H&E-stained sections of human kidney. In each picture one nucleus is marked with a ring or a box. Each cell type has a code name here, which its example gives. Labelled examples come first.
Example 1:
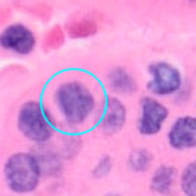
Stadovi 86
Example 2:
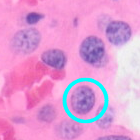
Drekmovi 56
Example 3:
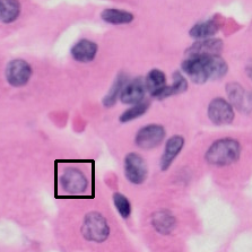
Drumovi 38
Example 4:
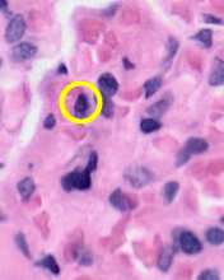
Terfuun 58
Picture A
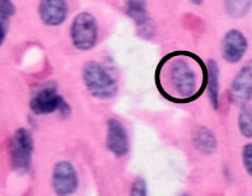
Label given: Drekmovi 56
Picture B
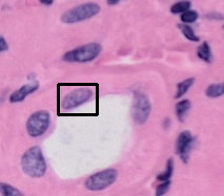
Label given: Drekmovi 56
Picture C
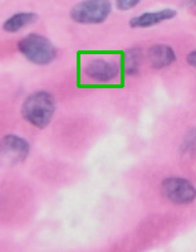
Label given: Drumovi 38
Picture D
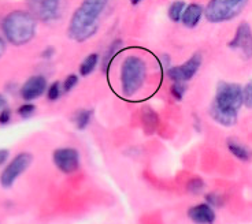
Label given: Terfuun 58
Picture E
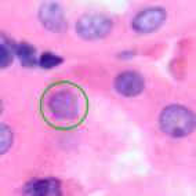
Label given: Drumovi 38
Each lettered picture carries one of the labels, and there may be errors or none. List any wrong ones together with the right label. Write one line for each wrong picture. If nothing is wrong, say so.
Every label is right.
